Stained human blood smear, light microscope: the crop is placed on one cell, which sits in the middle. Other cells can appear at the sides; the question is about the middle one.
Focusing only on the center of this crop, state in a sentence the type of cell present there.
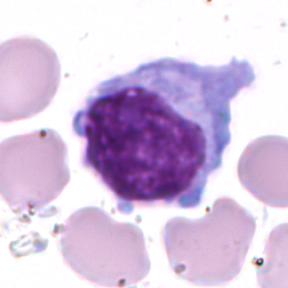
The cell in the middle of the field of view is a plasma cell.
